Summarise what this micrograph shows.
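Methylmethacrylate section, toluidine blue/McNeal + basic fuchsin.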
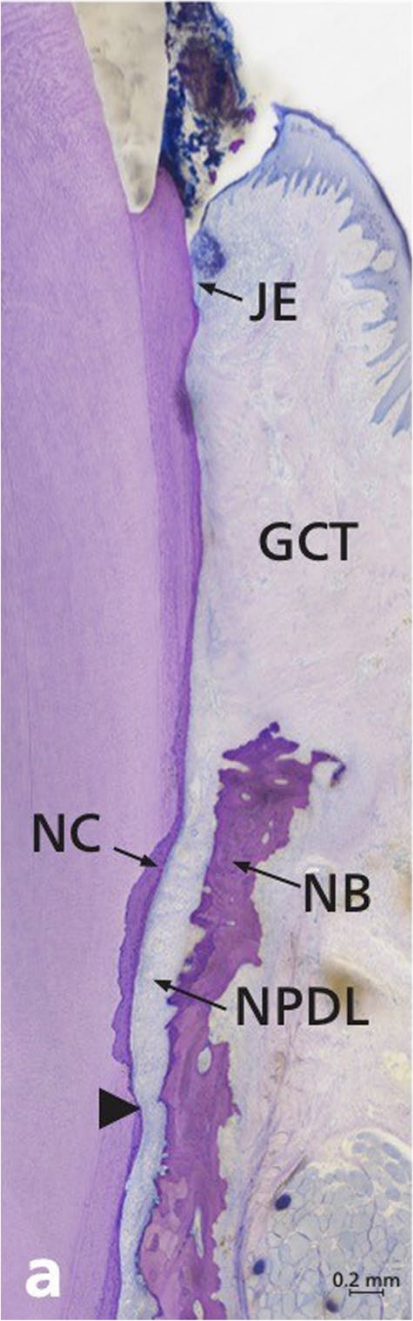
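A section through a tooth and its surrounding periodontal tissues, with the purple-stained root on the left and the gingiva, with its blue-stained epithelium forming rete ridges, at the top right. The junctional epithelium runs as a thin band down against the tooth surface at the top.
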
